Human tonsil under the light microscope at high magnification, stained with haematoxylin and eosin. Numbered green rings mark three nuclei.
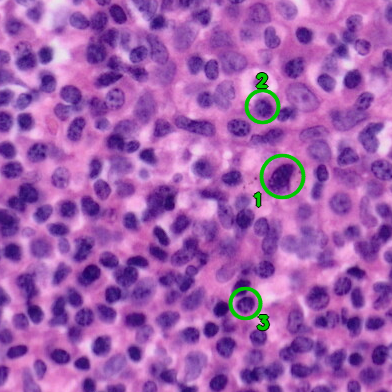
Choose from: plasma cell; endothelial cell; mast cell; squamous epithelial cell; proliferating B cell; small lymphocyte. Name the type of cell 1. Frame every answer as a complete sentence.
The marked cell with the number 1 is recognised as a squamous epithelial cell.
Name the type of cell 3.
In this section, the cell tagged 3 is a plasma cell.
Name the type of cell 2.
The cell marked with the number 2 is a plasma cell.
